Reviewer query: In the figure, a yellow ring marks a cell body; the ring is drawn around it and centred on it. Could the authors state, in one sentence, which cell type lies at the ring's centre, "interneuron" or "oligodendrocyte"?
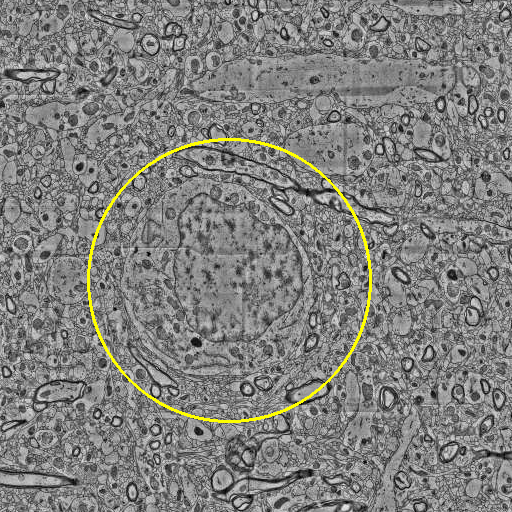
The ring is centred on an interneuron.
